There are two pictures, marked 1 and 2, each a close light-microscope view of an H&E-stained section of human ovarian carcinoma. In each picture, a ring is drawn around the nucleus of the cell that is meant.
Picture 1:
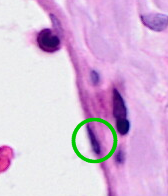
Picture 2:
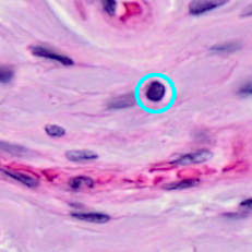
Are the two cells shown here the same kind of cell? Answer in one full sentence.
No; the cell in picture 1 is an endothelial cell, while the one in picture 2 is a lymphocyte.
